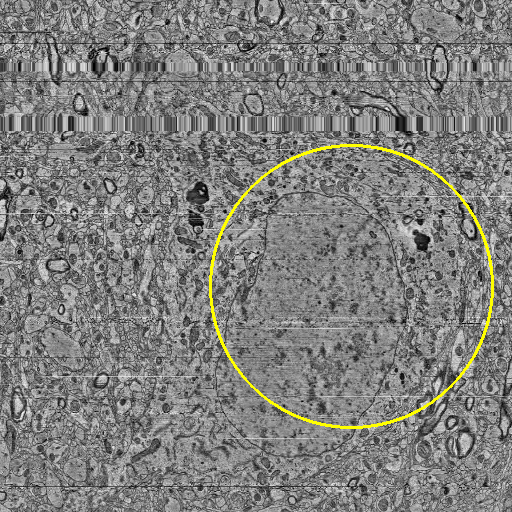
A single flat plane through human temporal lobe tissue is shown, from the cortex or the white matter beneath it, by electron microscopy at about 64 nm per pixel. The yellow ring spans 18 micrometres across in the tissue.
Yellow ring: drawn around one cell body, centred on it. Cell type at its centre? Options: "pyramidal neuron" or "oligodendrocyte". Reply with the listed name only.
pyramidal neuron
